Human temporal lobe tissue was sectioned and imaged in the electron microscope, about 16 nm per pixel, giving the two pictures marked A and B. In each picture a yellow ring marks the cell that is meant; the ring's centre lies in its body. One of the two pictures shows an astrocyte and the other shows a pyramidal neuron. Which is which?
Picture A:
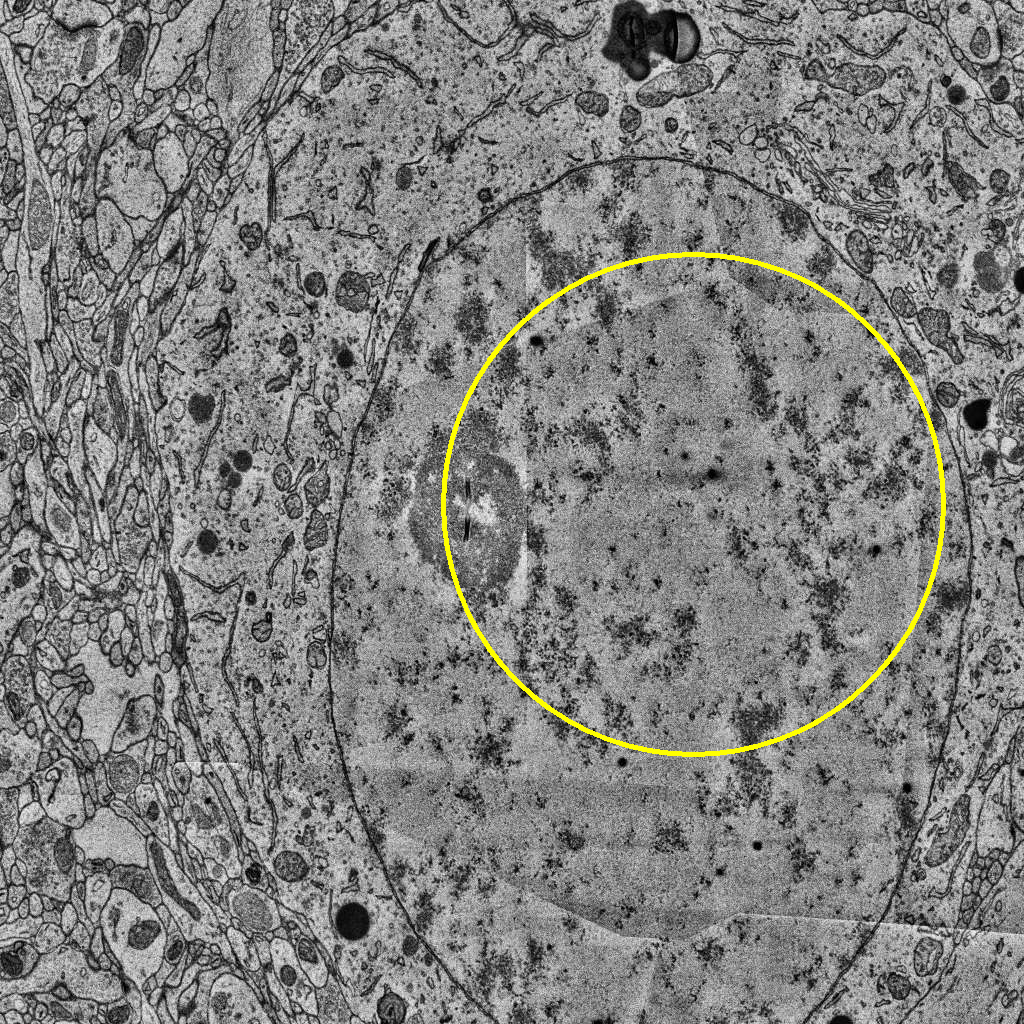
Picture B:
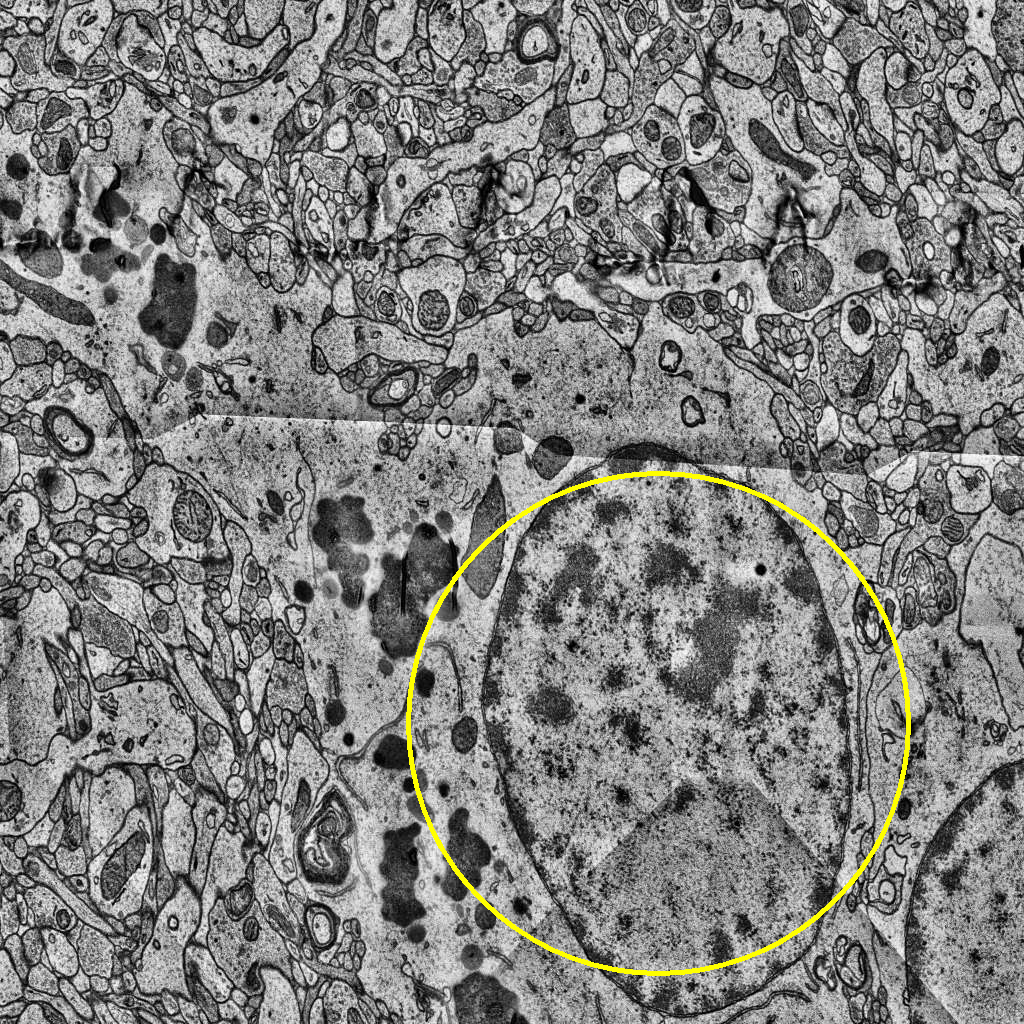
The cell in picture A is a pyramidal neuron, and the one in picture B is an astrocyte.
